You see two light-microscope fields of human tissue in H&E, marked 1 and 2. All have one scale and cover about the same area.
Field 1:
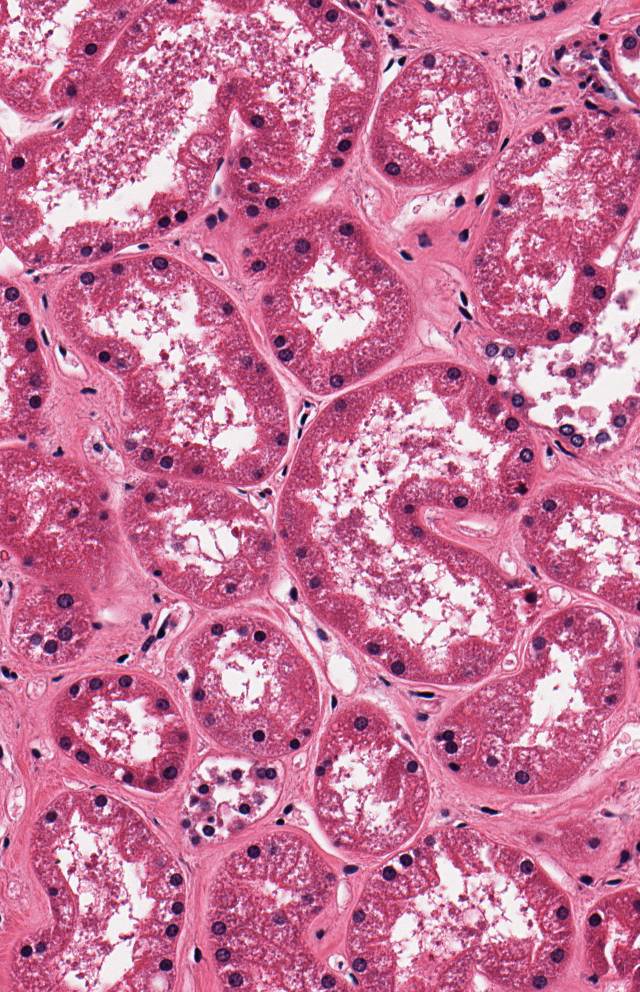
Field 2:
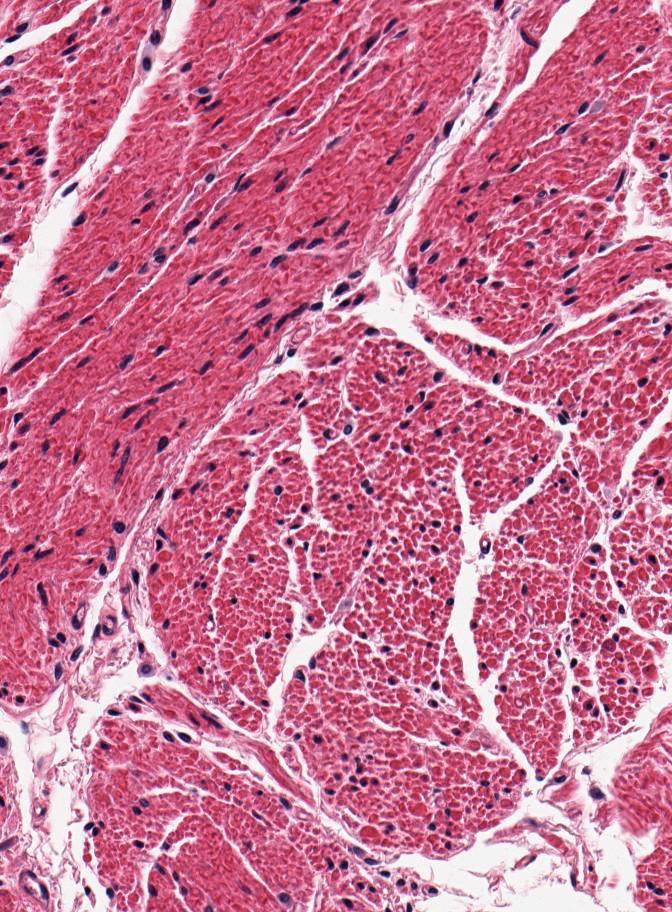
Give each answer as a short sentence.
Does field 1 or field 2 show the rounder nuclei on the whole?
The nuclei are rounder in field 1.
